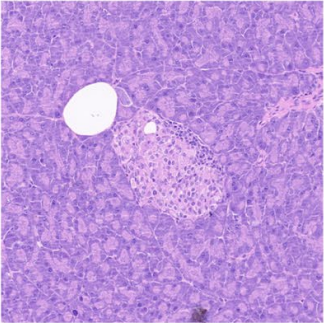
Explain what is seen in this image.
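Pancreatic tissue with an islet showing little leukocyte infiltration. The islet is an oval cluster of pale-staining endocrine cells with lightly eosinophilic cytoplasm and evenly spaced round nuclei, clearly set off from the surrounding exocrine tissue. A thin rim of a few darker nuclei lies at part of its edge. Next to the islet is an empty round lumen of a vessel or duct. The rest of the field is occupied by closely packed acini made of cells with purple-staining cytoplasm and basal nuclei.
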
